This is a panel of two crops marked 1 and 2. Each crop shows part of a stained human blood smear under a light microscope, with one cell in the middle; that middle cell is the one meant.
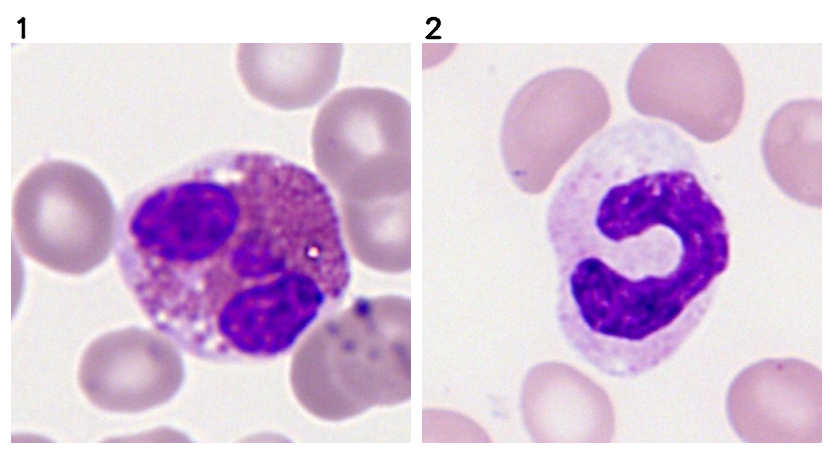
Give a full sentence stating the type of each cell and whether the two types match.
No, the cell that crop 1 shows is an eosinophil, and the one crop 2 shows is a band neutrophil.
